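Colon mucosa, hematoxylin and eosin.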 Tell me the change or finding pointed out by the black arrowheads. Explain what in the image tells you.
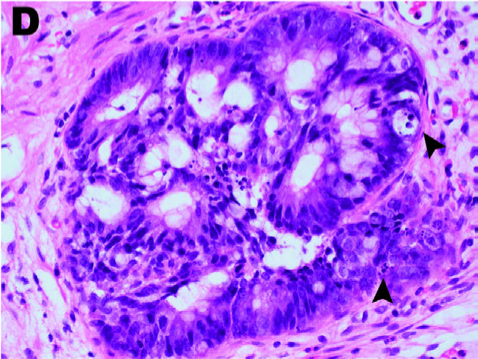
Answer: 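The arrowheads point at small shrunken cells with dense dark nuclei at the edge of the crypt. That points to this answer: apoptosis.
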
